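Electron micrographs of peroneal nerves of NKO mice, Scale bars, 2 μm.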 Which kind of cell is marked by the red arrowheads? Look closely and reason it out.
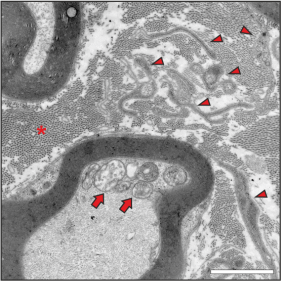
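The arrowheads point to thin, curved cell processes lying among collagen fibrils. These processes enclose no axon.
Conclusion: denervated Schwann cells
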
